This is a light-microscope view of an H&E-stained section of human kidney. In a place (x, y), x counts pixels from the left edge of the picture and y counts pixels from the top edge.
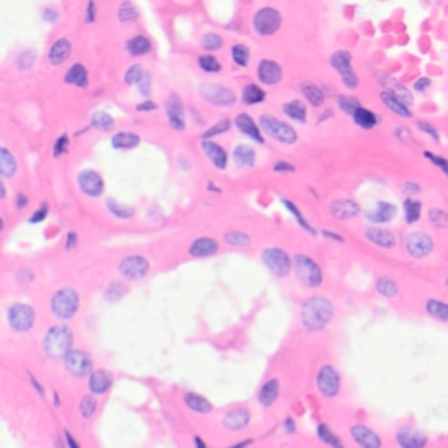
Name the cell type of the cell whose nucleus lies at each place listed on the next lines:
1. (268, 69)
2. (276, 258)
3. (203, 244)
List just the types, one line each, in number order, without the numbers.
collecting duct cell
loop of Henle or distal tubule cell
loop of Henle or distal tubule cell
